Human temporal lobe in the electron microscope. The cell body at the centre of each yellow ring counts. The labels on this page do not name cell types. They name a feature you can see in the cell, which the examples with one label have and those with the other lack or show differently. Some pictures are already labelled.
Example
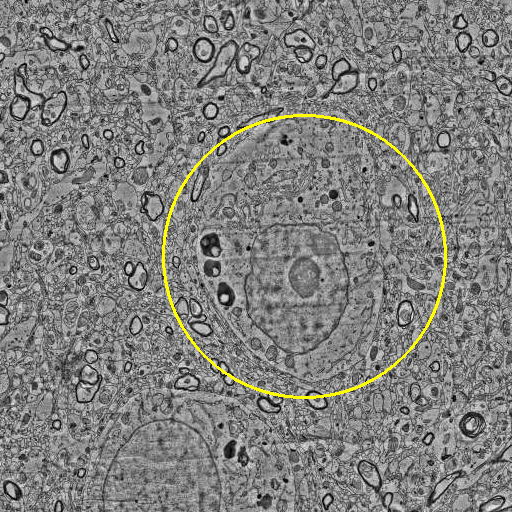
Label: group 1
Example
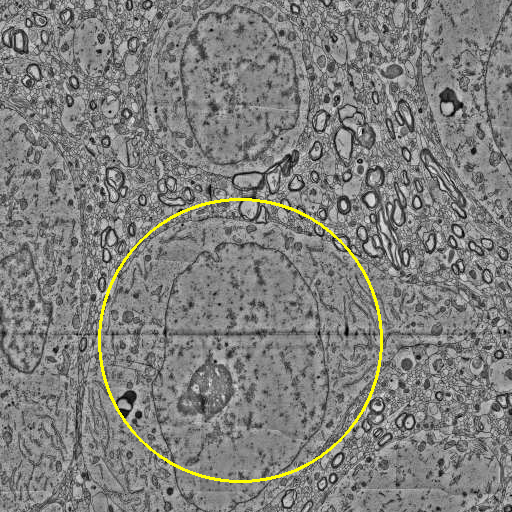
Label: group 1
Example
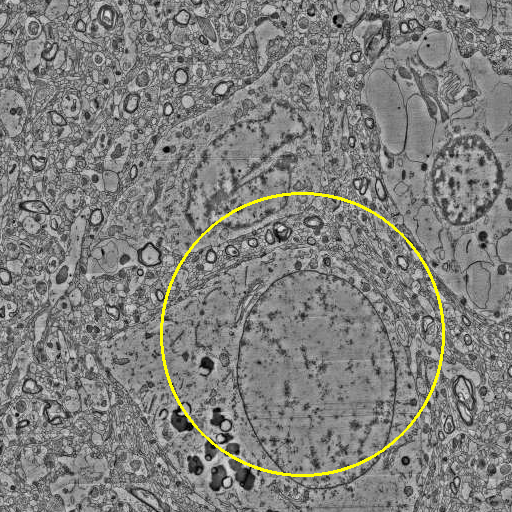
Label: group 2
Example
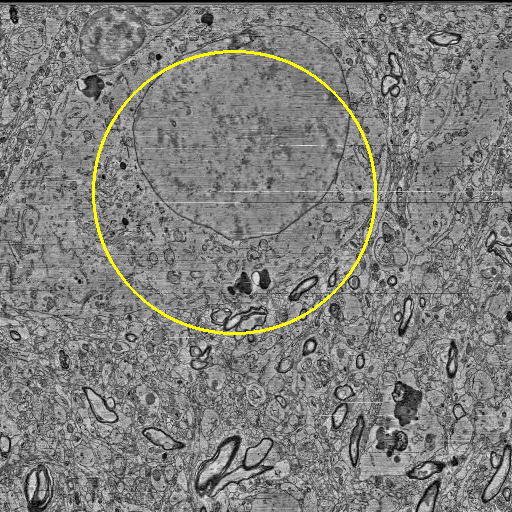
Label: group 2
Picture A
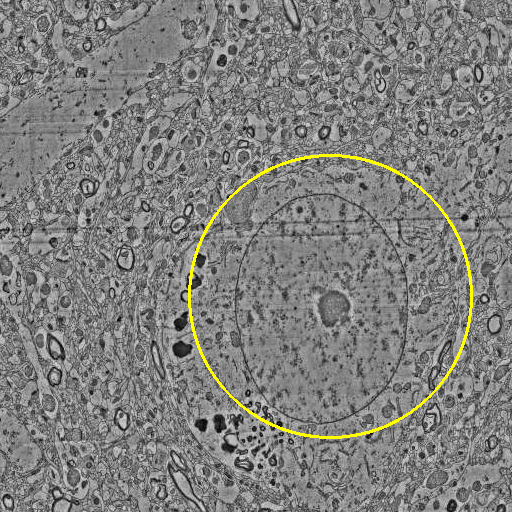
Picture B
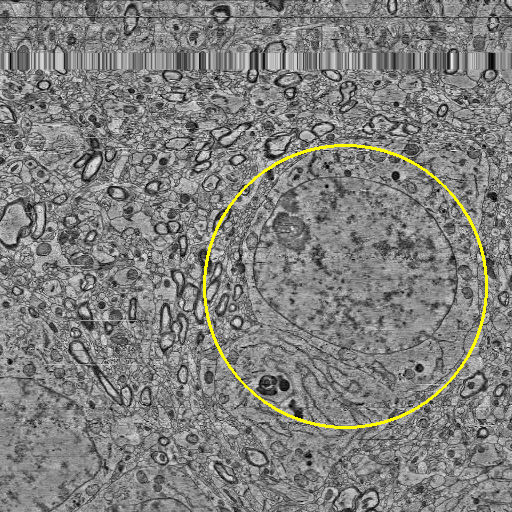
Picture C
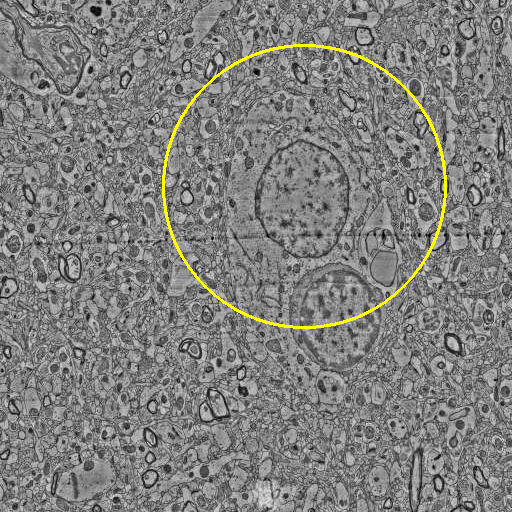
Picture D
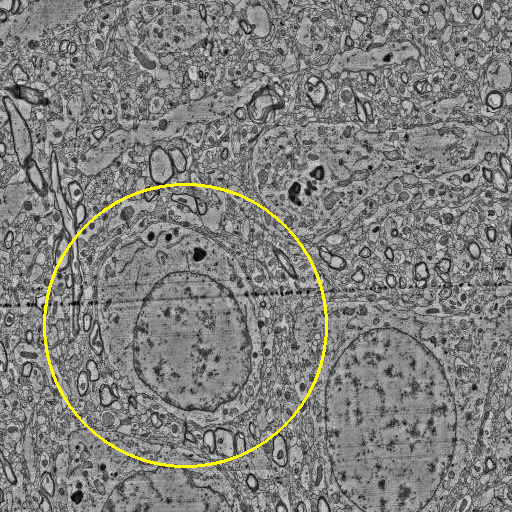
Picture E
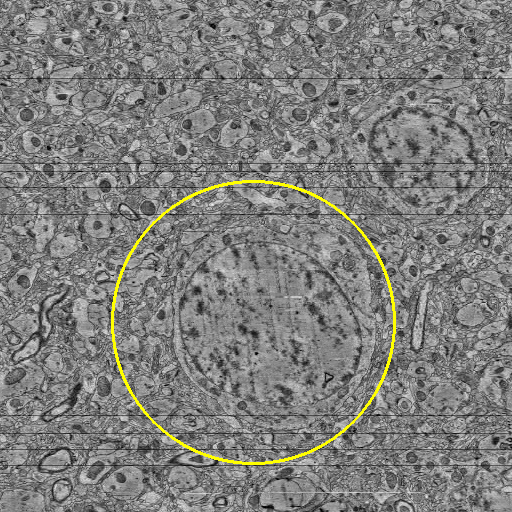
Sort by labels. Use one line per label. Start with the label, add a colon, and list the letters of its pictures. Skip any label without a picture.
group 1: A, B
group 2: C, D, E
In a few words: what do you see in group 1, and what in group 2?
In group 1: nucleolus seen. In group 2: no nucleolus seen.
